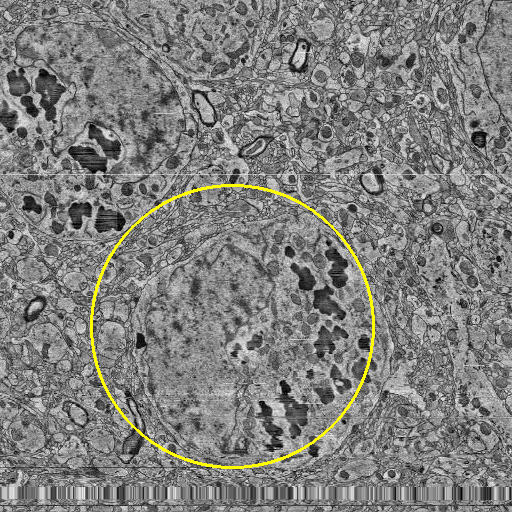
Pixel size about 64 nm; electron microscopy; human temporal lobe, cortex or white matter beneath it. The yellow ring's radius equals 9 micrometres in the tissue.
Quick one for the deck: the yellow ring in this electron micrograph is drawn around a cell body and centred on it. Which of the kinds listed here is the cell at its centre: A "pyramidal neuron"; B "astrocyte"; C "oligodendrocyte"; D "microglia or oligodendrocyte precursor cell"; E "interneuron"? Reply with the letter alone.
E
